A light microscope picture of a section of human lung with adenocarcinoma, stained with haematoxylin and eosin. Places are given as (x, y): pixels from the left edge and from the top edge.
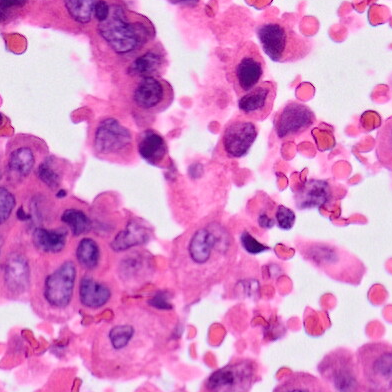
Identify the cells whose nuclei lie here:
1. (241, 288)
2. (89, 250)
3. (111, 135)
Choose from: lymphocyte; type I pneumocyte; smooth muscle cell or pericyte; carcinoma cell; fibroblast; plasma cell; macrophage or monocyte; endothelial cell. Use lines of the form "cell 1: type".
cell 1: macrophage or monocyte
cell 2: carcinoma cell
cell 3: carcinoma cell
